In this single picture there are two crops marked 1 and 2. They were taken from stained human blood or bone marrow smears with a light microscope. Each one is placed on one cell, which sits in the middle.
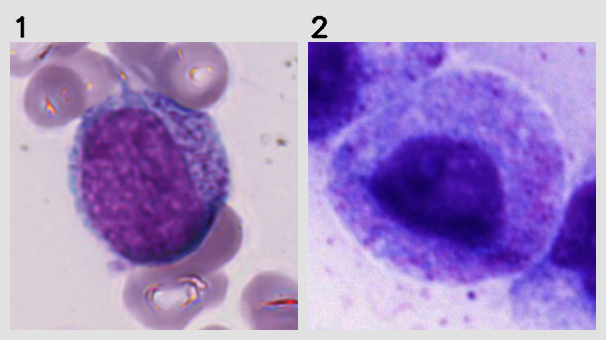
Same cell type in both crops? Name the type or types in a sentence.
Yes, the crops both have promyelocytes in the middle.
